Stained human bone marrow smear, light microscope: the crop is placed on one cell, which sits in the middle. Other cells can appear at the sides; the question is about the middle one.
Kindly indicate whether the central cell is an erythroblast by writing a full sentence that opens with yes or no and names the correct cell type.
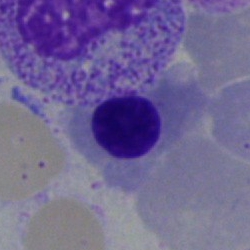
Yes, the cell at the middle of the field is to be classed as an erythroblast.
